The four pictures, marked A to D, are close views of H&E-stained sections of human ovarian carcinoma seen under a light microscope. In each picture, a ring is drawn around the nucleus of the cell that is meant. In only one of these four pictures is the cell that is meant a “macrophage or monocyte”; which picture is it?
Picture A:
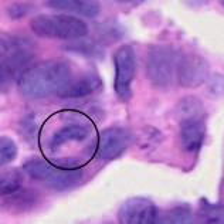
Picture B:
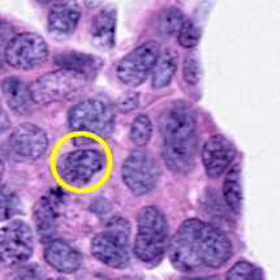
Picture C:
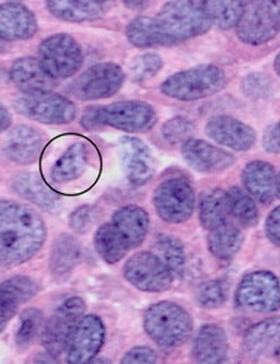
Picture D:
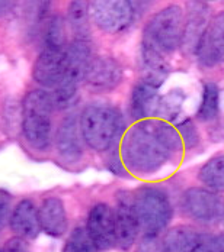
C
